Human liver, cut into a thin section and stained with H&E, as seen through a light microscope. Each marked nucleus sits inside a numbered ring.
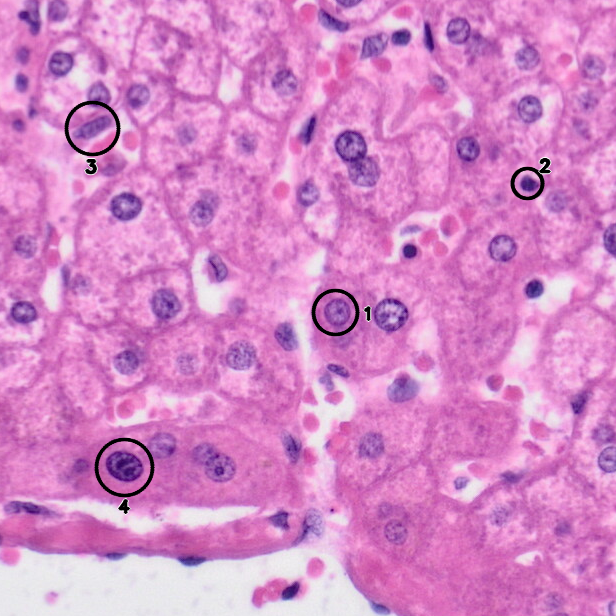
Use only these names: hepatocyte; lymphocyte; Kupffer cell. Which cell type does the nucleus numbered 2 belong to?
lymphocyte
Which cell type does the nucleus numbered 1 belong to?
hepatocyte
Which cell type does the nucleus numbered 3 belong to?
Kupffer cell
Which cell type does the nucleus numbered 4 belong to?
hepatocyte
